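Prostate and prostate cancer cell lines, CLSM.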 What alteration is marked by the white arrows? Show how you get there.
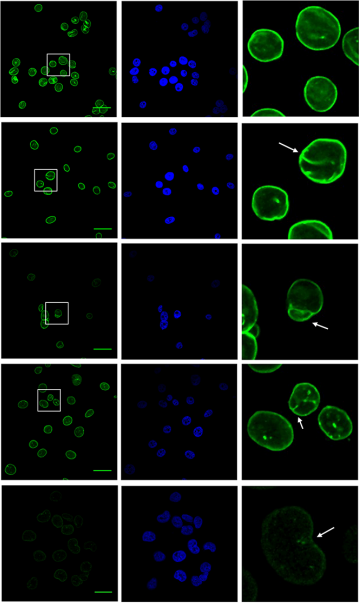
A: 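The arrows in the enlarged images point to folds or indentations of the green nuclear rim. The nuclei marked are irregular in outline rather than smoothly oval. The answer: nuclear deformities.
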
